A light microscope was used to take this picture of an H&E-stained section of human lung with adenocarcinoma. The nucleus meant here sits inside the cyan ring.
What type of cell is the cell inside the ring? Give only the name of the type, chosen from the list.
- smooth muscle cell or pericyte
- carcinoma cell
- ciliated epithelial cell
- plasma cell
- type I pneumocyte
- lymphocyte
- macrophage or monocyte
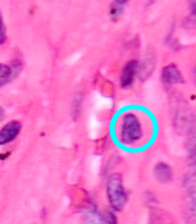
lymphocyte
